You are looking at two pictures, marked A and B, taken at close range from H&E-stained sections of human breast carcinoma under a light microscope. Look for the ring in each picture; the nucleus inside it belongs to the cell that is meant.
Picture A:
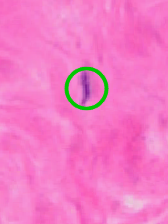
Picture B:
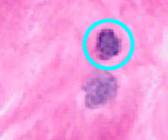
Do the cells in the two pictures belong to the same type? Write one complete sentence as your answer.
No. Picture A shows a fibroblast, but picture B shows a lymphocyte.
